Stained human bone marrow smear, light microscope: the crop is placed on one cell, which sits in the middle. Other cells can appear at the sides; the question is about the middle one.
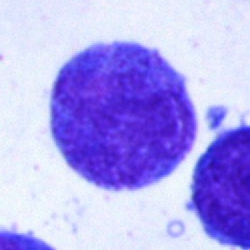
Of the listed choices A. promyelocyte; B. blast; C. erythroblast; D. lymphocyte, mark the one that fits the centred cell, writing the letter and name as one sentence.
Option B is correct, naming the cell in the middle as a blast.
